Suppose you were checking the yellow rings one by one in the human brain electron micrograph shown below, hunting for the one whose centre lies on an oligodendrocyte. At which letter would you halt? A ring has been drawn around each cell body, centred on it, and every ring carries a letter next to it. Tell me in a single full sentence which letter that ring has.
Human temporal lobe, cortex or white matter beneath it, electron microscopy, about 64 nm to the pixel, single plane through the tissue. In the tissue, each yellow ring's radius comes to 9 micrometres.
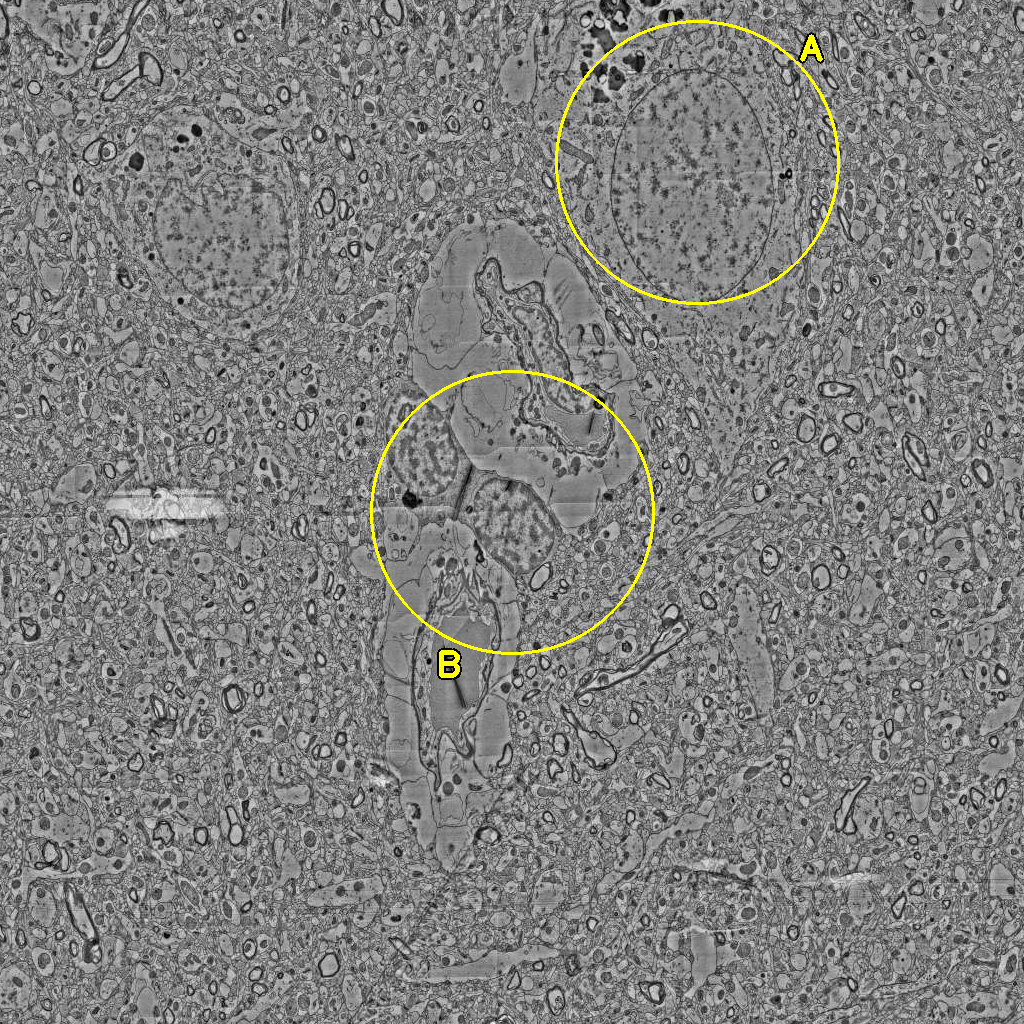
Going through the rings, I would stop at ring B, the one centred on the cell asked for.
